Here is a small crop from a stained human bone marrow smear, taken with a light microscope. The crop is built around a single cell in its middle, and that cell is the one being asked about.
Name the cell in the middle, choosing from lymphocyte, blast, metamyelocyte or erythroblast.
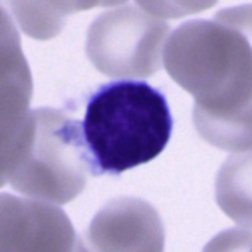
lymphocyte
